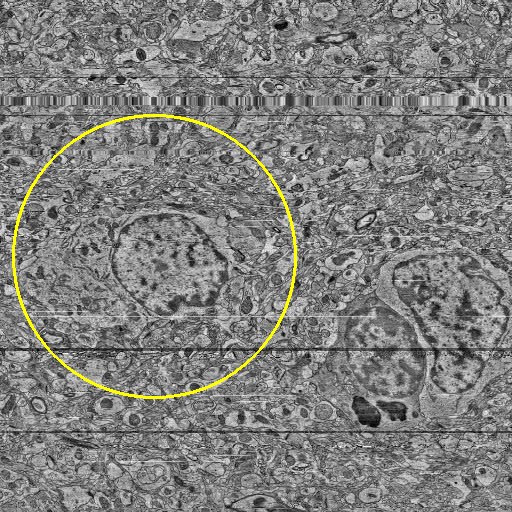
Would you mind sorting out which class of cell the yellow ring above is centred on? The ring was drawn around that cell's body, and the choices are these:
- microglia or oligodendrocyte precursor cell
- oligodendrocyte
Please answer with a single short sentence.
This is the cell body of a microglial cell or oligodendrocyte precursor cell.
